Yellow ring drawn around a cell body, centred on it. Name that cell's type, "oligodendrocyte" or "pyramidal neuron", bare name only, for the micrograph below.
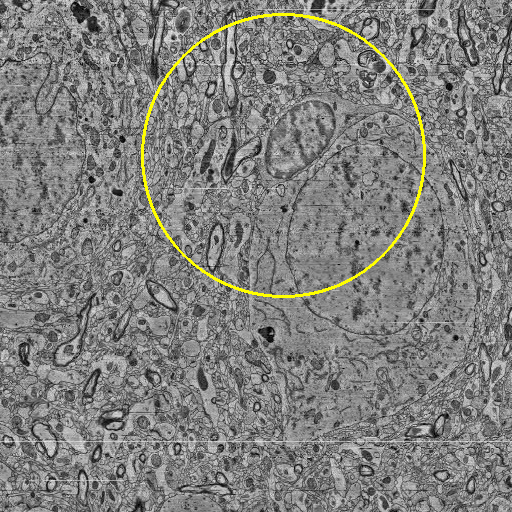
oligodendrocyte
